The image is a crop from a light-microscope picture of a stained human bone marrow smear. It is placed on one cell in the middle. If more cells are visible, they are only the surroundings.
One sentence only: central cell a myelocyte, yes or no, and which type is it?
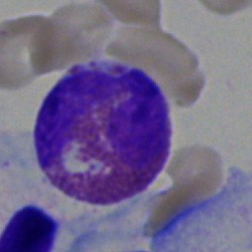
No, the middle cell is not a myelocyte, it being an eosinophil.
